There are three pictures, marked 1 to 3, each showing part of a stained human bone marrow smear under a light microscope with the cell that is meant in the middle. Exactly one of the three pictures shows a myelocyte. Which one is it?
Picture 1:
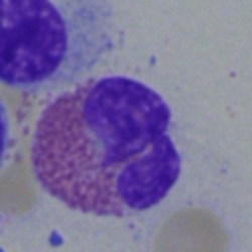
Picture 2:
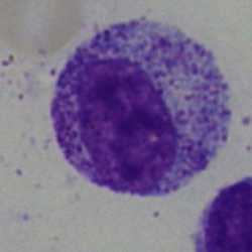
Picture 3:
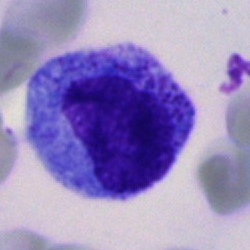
2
